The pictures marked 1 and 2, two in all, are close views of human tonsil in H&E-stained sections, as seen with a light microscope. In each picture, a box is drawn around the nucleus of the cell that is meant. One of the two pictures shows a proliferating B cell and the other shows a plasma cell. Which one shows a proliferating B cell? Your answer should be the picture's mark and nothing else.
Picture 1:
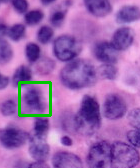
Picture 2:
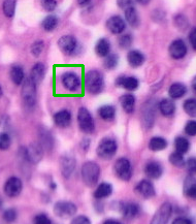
1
